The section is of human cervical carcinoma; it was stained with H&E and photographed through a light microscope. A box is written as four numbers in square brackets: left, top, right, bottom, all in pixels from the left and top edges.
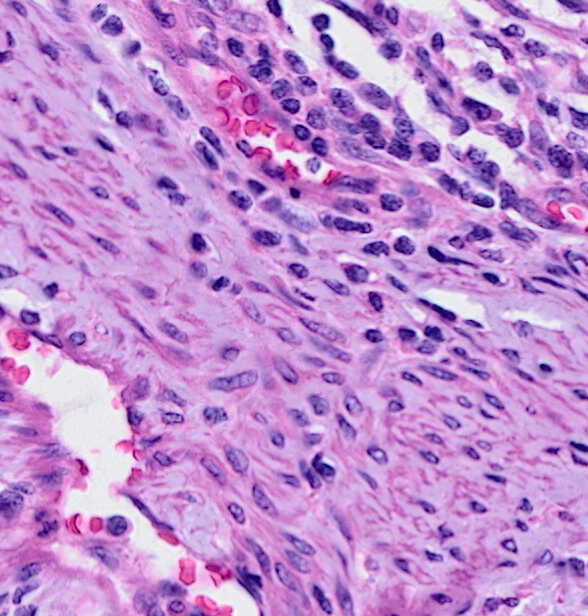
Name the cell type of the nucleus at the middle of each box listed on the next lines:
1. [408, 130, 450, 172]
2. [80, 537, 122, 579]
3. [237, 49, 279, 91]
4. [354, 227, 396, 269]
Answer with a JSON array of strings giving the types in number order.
["lymphocyte", "endothelial cell", "lymphocyte", "lymphocyte"]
